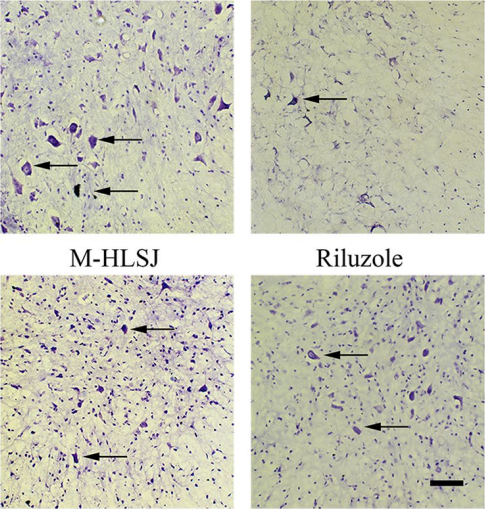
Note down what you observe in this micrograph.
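The motor neurons, marked by black arrows, are large, intensely purple cell bodies, many angular or multipolar with tapering processes extending into the surrounding tissue. Around them lies a pale, finely fibrous neuropil scattered with numerous small, dark, round to oval nuclei of much smaller cells. The large stained neurons are plentiful in the upper-left image, whereas in the upper-right image they are few and faint, with the field dominated by pale neuropil and small nuclei. The two lower images hold an intermediate number of large purple cell bodies, some of them smaller and more elongated.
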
